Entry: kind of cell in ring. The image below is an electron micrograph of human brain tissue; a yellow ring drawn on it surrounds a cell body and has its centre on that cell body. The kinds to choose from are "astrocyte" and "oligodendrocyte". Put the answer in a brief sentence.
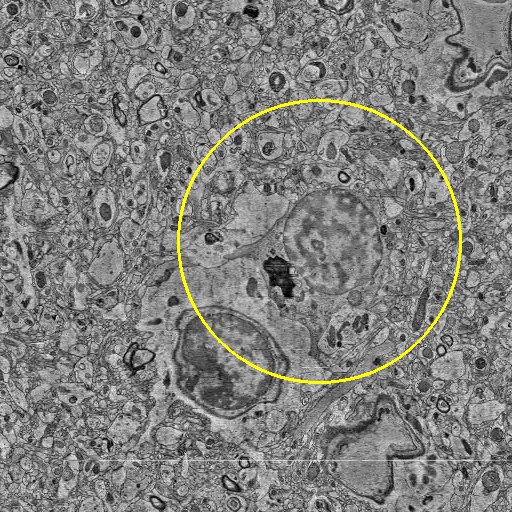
The ring has been drawn around an oligodendrocyte.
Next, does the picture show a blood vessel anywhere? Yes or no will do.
Yes.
